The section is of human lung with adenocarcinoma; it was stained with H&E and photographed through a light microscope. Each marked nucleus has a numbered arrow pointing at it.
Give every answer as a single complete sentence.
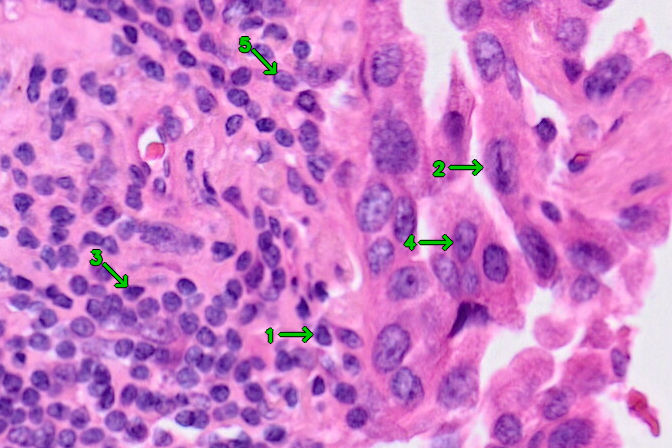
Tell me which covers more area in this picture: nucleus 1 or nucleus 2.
The larger nucleus is 2, at roughly 4 times the area of 1.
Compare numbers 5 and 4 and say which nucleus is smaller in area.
It is nucleus 5; nucleus 4 has about 2 times its area.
